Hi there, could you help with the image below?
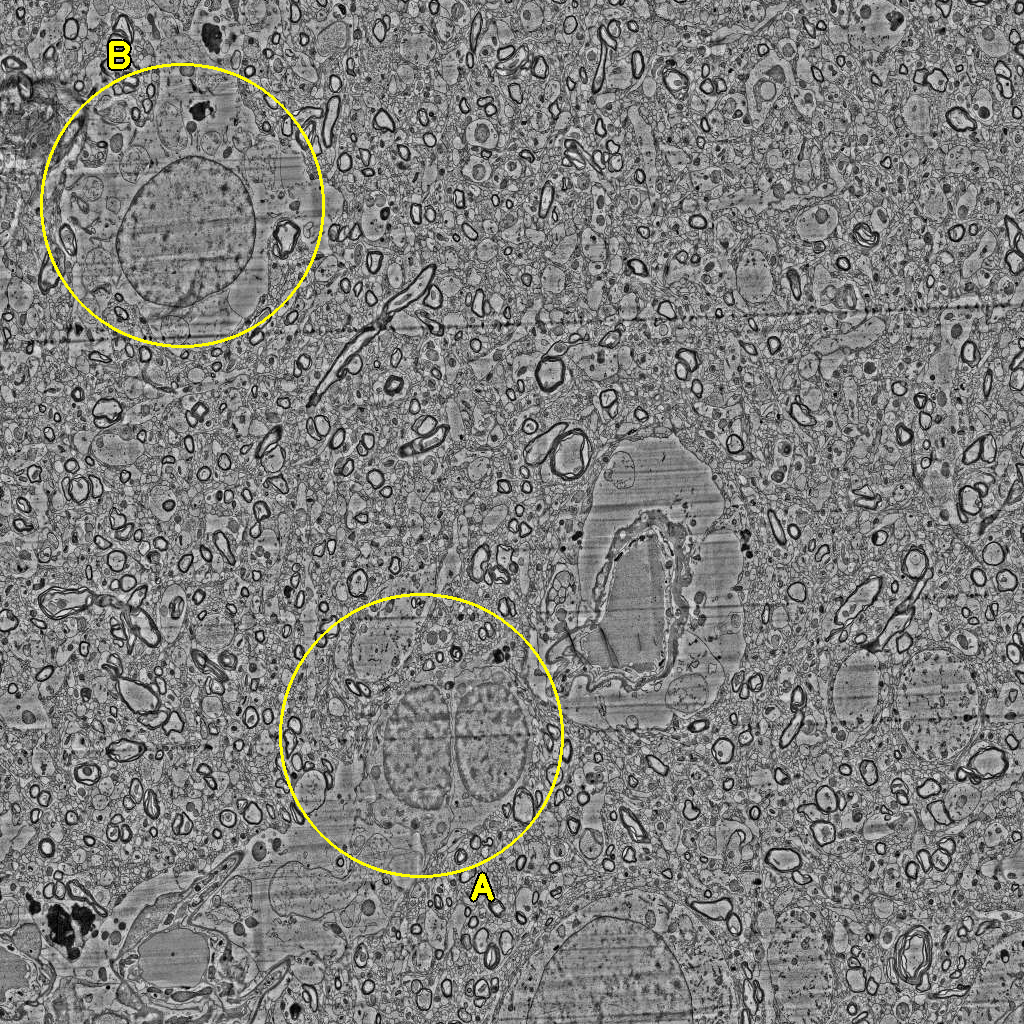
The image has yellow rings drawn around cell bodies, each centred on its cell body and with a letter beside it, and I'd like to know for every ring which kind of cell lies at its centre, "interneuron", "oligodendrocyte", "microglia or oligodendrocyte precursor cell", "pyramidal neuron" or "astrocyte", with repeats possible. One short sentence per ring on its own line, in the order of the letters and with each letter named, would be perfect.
Ring A is placed around an oligodendrocyte.
Ring B is placed around an astrocyte.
